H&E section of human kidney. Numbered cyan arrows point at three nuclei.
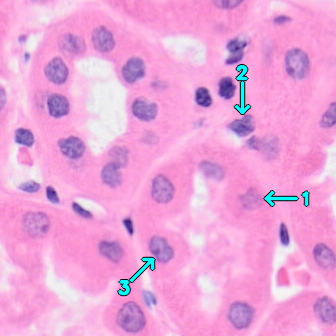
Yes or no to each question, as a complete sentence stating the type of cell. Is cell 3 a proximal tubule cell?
Yes, the cell tagged with the number 3 is a proximal tubule cell.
